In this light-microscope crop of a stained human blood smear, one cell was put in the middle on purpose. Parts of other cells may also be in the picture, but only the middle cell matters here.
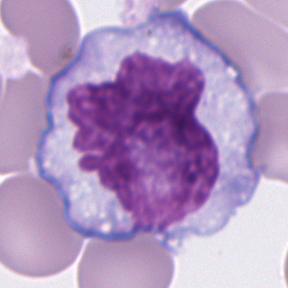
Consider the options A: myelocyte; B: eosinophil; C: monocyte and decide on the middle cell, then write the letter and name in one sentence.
In this crop the middle cell is a monocyte, so option C is the correct answer.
